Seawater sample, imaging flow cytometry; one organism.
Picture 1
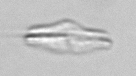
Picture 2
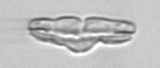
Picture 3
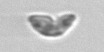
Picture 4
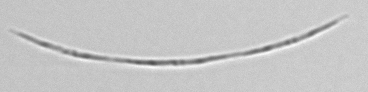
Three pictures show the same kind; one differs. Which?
Picture 4: Pseudo-nitzschia, while the others are Karenia papilionacea.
